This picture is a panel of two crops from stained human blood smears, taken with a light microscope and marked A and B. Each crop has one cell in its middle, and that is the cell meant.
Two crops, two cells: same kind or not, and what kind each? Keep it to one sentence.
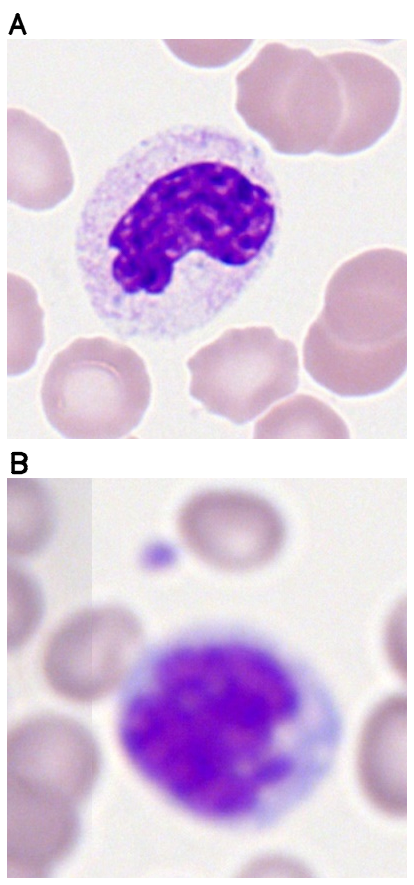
No, crop A contains a band neutrophil, and crop B contains a monocyte.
